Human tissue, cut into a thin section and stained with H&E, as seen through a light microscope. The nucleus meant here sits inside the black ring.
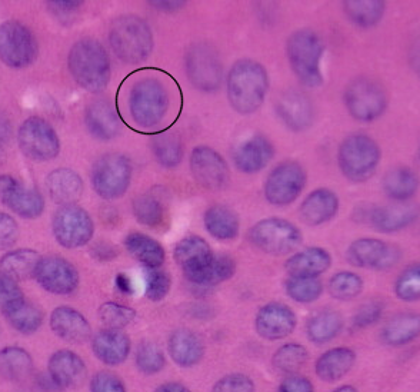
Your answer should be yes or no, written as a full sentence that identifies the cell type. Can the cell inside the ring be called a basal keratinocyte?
No, scored properly, the cell inside the ring is a suprabasal keratinocyte rather than a basal keratinocyte.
